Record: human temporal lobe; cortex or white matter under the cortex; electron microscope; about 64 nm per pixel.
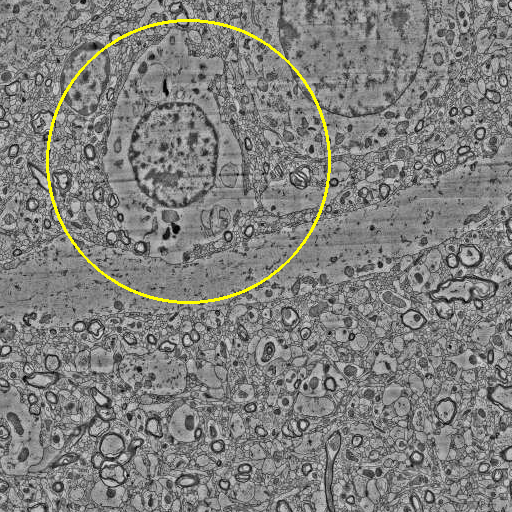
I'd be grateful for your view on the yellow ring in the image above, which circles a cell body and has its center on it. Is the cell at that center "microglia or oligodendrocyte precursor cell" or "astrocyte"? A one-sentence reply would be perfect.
The cell at the center of the yellow ring is an astrocyte.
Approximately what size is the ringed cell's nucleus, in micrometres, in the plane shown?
The nucleus comes to roughly 7 by 6 micrometres in this plane.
